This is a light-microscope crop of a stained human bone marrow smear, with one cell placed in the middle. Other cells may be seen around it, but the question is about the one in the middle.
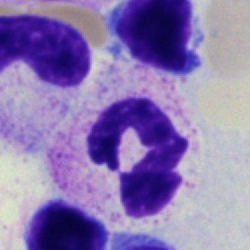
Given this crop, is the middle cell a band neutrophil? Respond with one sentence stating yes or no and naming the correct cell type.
No, what sits in the centre of the crop is a segmented neutrophil rather than a band neutrophil.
